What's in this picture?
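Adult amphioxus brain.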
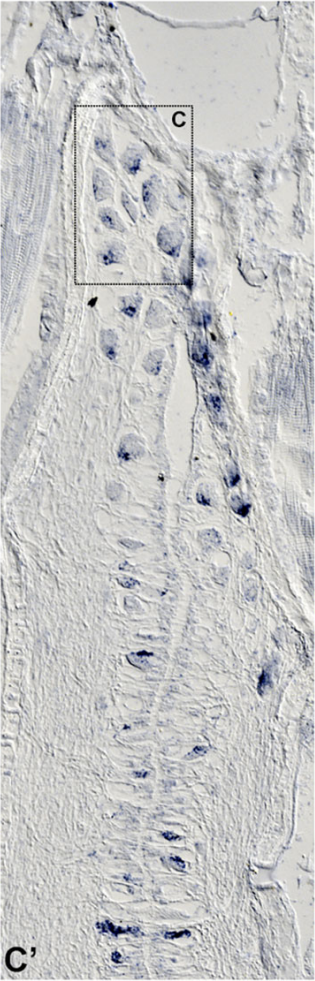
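The tube widens downward, and its cells lie on either side of a narrow central cleft. Farther down, smaller rounded and elongated cells along the cleft also carry dark blue-purple deposits, and the surrounding tissue is made of pale fibres and faint outlines of other cells.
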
